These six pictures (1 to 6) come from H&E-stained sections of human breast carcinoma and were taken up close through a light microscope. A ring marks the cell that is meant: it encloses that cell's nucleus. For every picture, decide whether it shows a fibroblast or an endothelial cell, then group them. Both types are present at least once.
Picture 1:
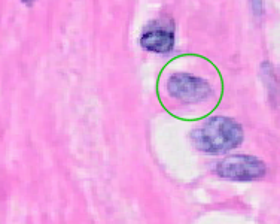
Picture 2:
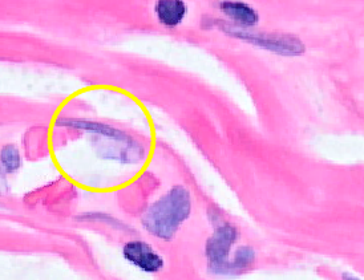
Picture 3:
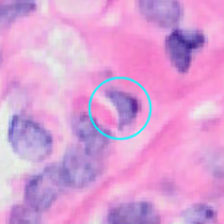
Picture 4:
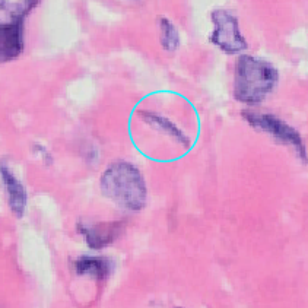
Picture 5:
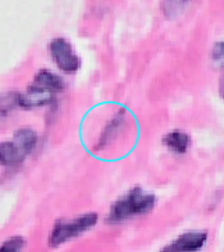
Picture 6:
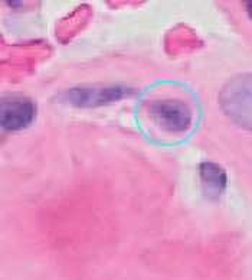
1: endothelial cell
2: endothelial cell
3: endothelial cell
4: fibroblast
5: fibroblast
6: endothelial cell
